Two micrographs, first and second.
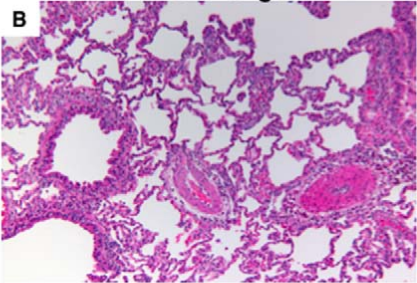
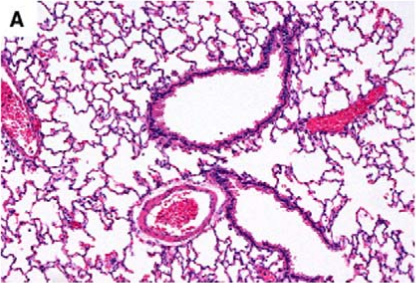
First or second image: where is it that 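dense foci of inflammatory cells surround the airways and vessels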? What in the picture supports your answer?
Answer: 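First image: thick cuffs of crowded dark nuclei around the airway and vessel, with thickened alveolar walls. Second image: airway and vessels have thin walls with no surrounding cell clusters, and alveolar walls are thin. On this evidence: the first image.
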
